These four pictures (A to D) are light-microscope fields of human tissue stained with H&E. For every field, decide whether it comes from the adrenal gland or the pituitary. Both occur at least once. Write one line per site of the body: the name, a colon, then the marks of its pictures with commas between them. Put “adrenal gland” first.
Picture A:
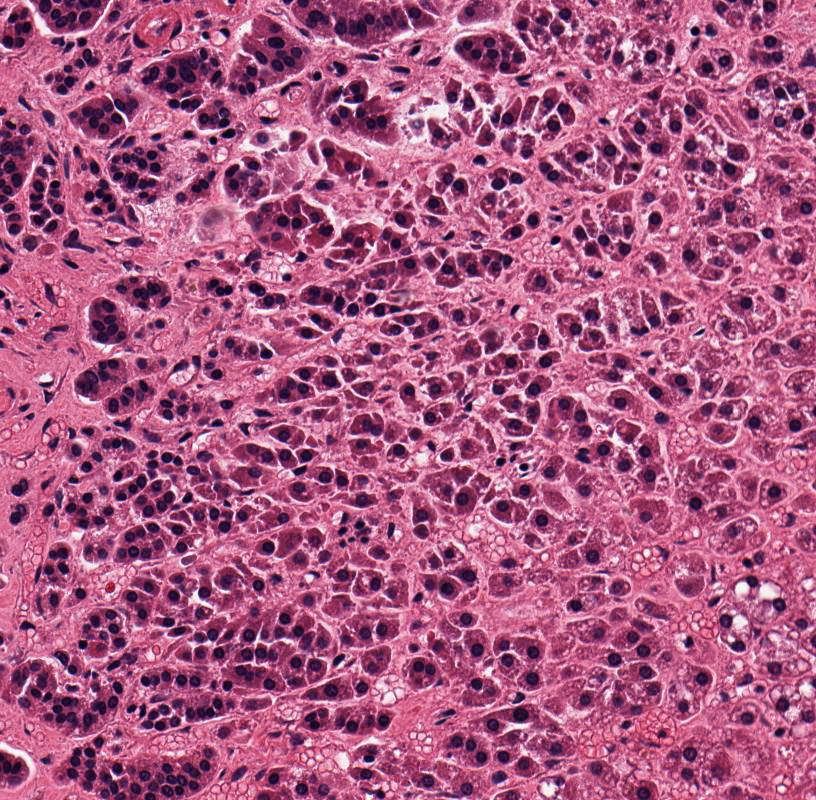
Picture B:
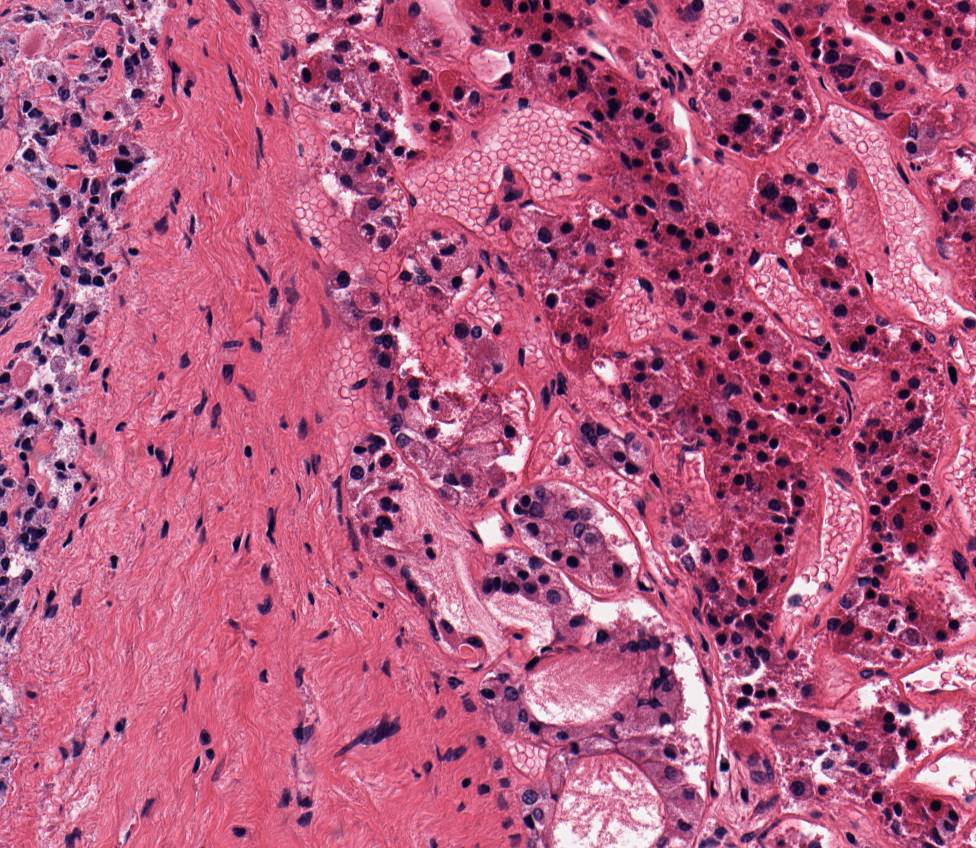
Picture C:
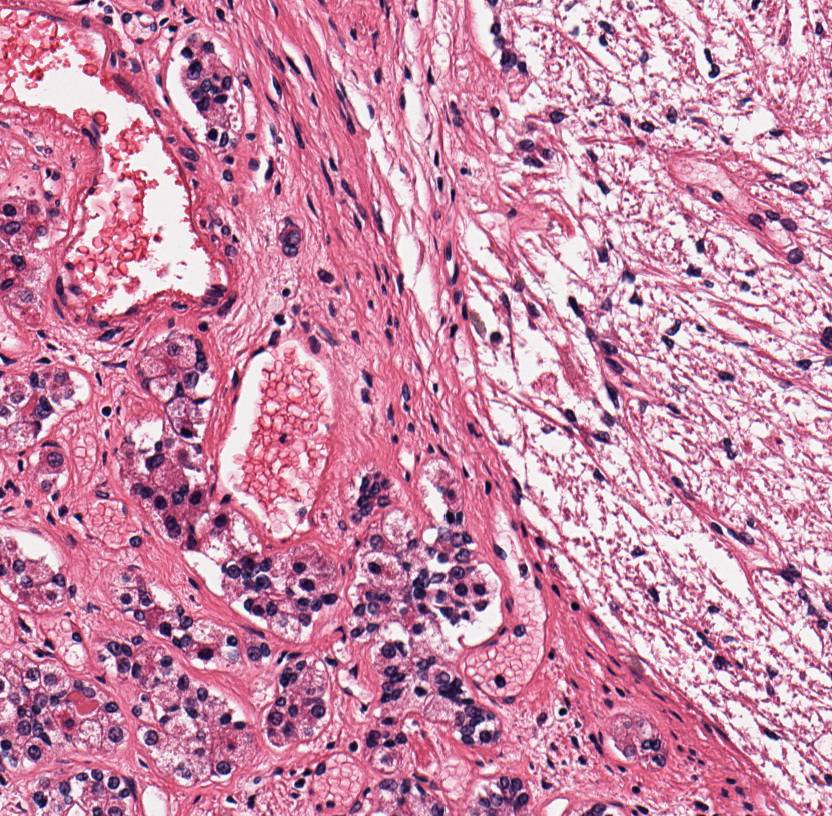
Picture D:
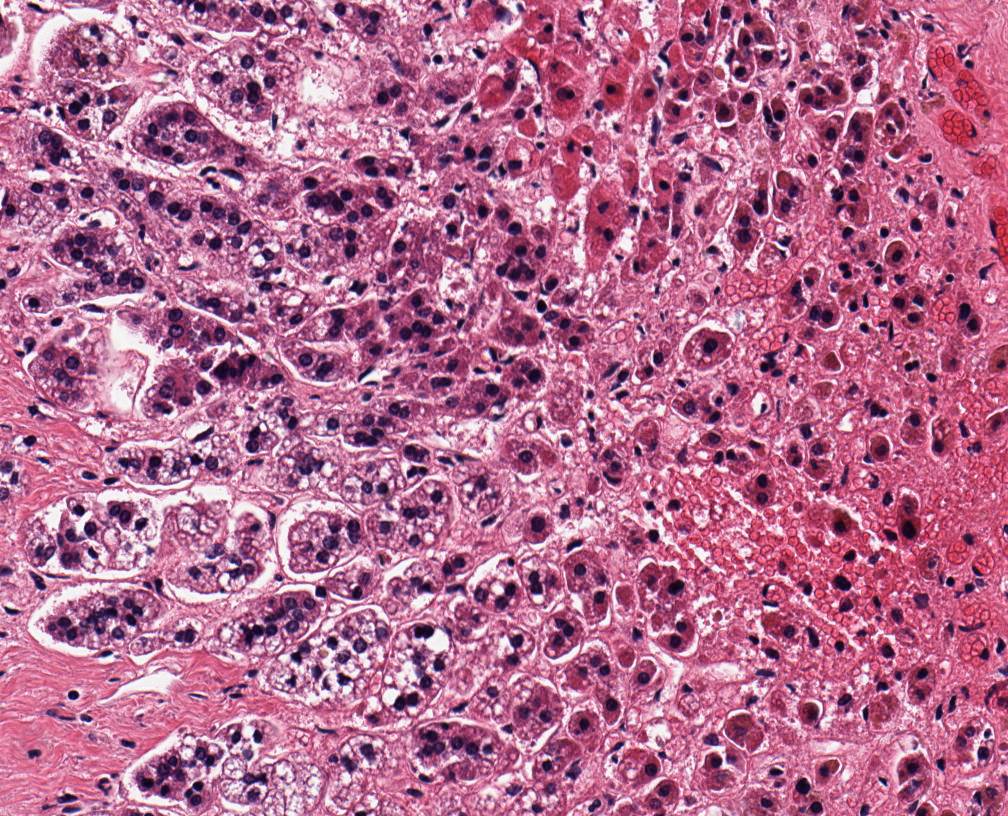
adrenal gland: A, D
pituitary: B, C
